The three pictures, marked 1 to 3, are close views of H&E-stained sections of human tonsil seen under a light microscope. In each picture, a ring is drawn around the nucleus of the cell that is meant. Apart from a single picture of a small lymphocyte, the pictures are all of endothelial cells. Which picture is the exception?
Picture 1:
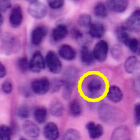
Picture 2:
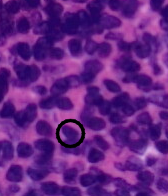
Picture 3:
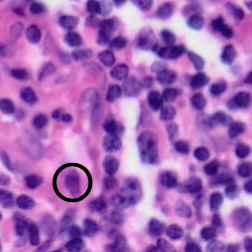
2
